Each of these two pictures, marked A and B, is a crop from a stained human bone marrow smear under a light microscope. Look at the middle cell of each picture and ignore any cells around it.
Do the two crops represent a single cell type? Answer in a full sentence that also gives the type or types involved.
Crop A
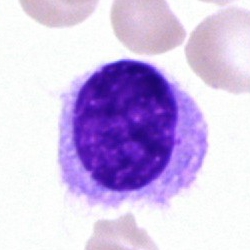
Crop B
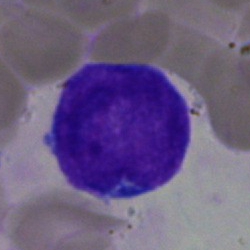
No, sorry, crop A shows a hairy cell and crop B shows a blast.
